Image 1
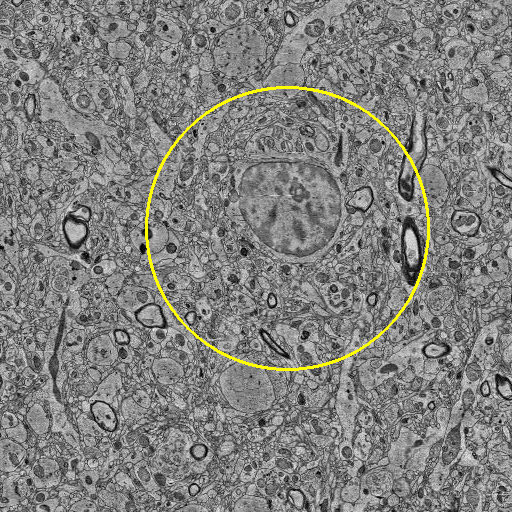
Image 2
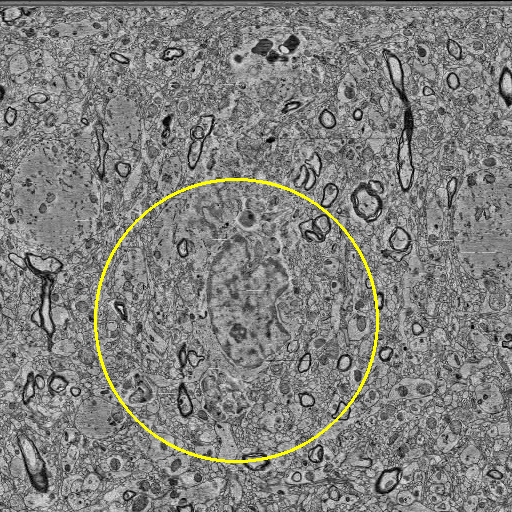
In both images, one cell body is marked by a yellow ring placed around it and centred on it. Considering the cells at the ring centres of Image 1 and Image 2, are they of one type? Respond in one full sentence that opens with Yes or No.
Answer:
No, two types apply to the ring-centred cells of Image 1 and Image 2.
